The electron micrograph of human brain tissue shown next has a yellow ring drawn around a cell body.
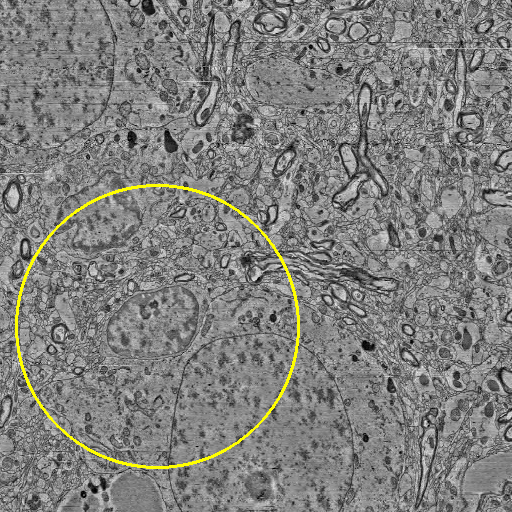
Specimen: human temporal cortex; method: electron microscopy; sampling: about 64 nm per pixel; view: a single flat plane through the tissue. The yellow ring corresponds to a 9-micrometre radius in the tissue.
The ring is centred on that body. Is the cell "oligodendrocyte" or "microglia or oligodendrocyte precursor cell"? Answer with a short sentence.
The cell in question is an oligodendrocyte.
